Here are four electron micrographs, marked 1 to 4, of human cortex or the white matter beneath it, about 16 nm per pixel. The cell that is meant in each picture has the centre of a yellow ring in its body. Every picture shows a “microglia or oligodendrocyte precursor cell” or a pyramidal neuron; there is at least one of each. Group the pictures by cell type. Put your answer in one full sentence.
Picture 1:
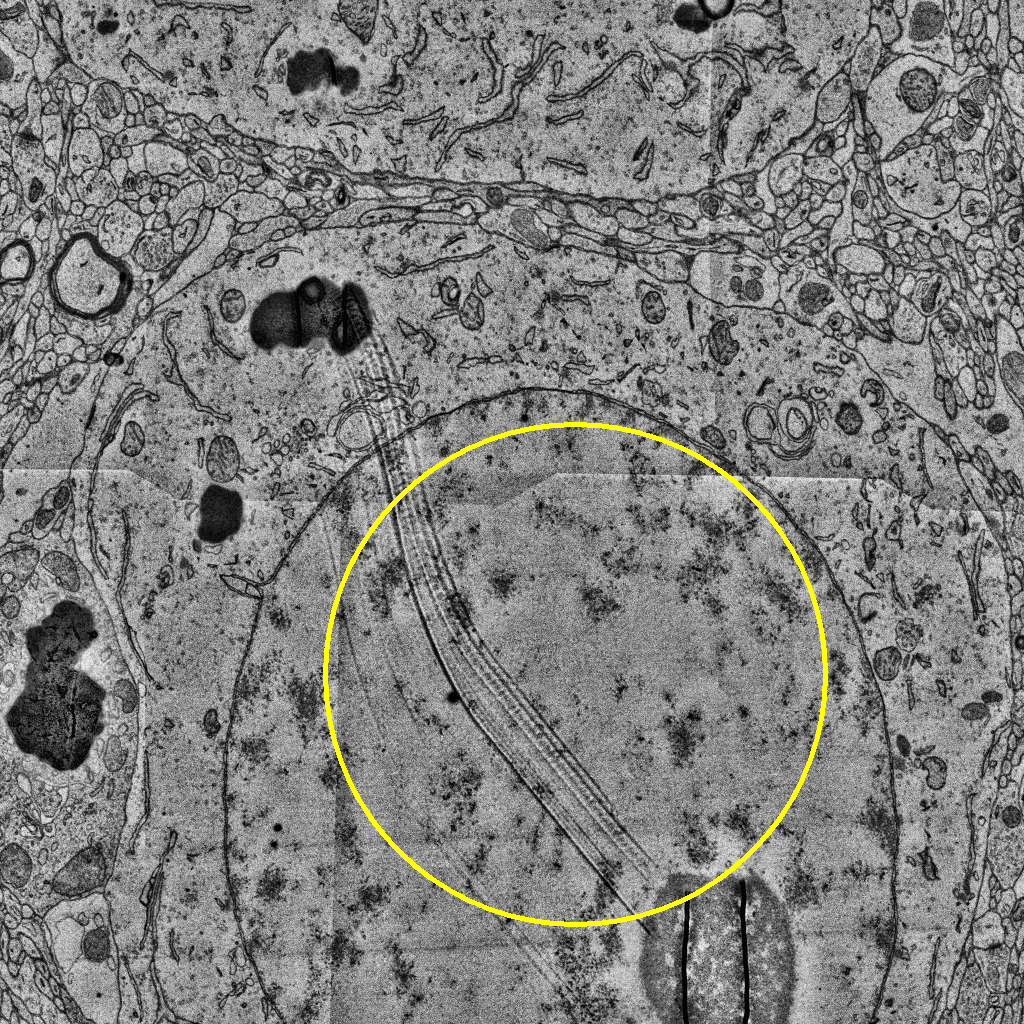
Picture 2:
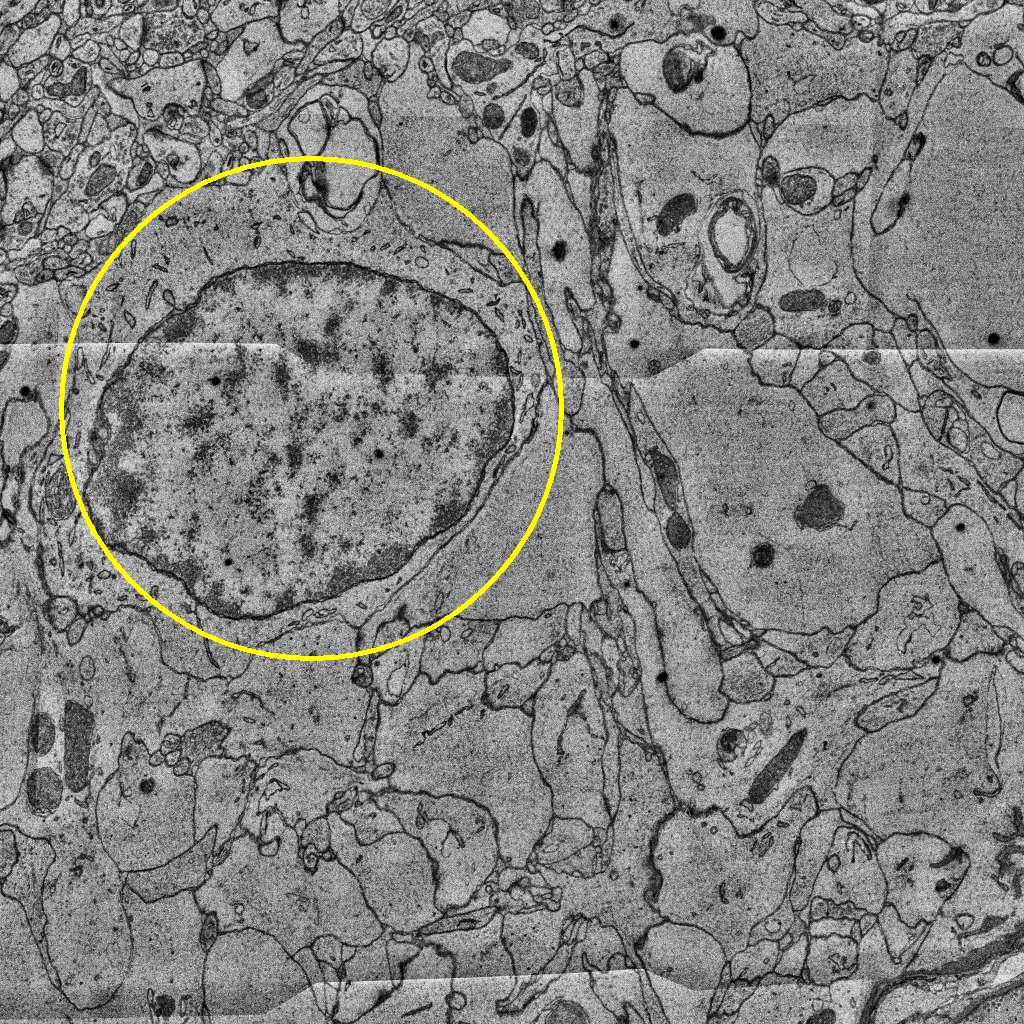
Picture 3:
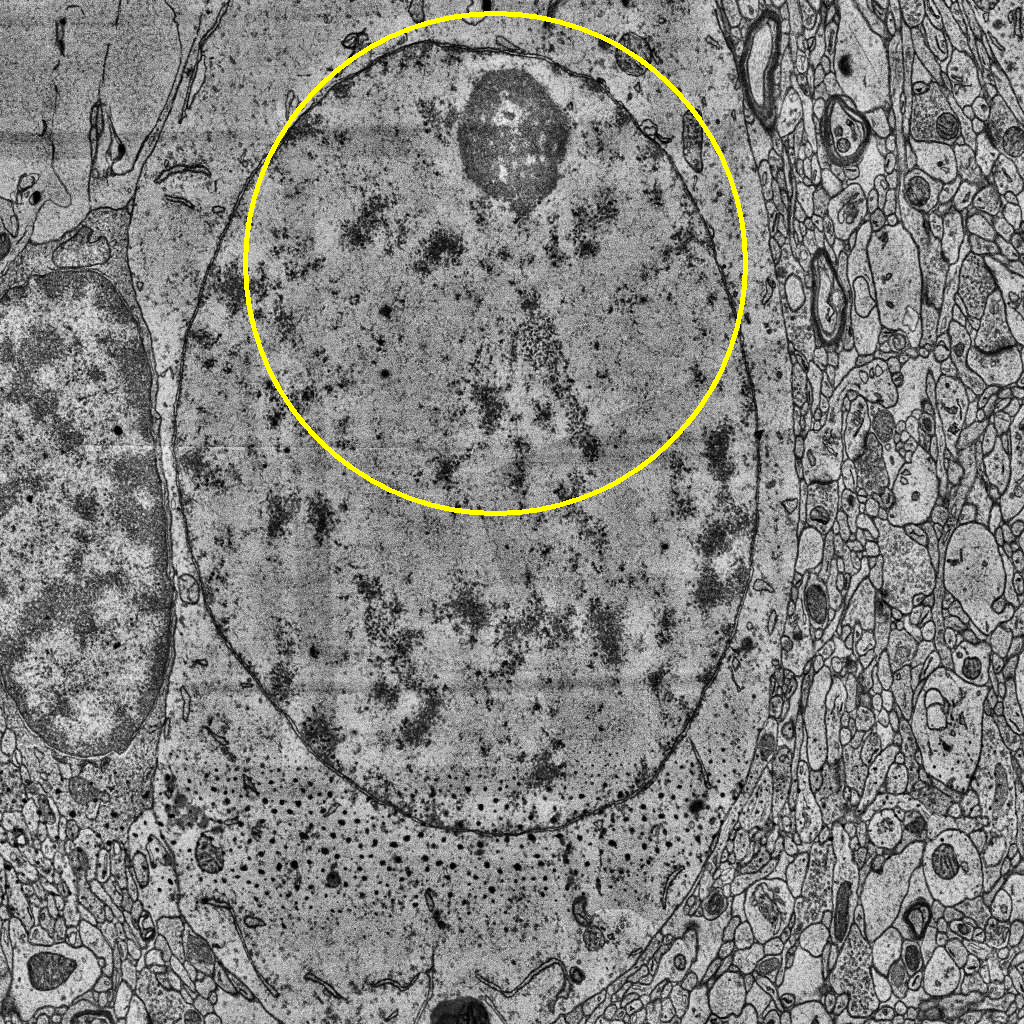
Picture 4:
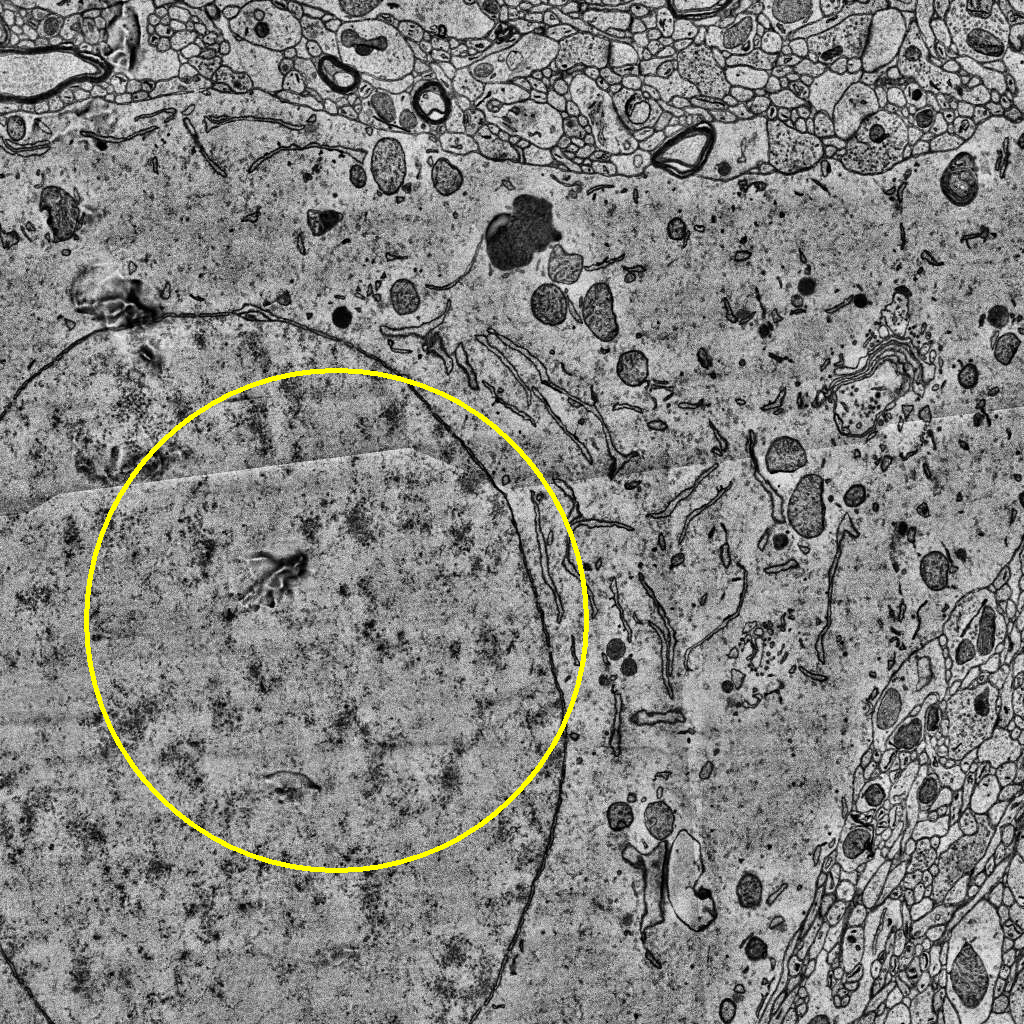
Picture 2 shows a “microglia or oligodendrocyte precursor cell”, while pictures 1, 3 and 4 show pyramidal neurons.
